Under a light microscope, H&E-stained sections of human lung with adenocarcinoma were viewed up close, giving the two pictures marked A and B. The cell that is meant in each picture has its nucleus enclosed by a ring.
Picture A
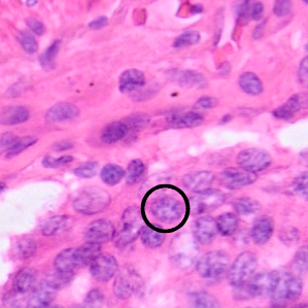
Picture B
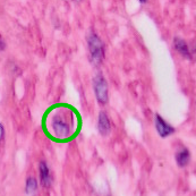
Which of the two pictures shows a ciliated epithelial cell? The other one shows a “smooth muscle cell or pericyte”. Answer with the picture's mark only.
A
